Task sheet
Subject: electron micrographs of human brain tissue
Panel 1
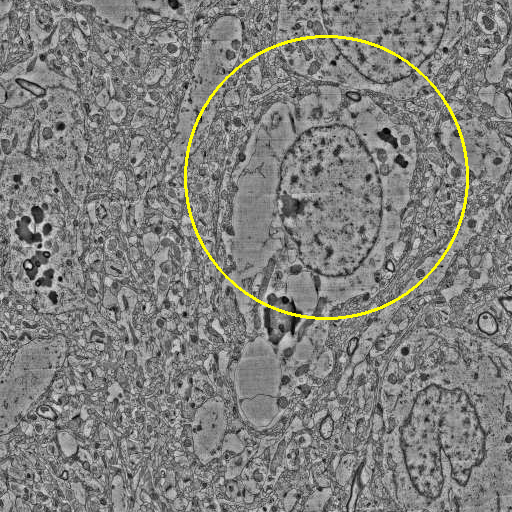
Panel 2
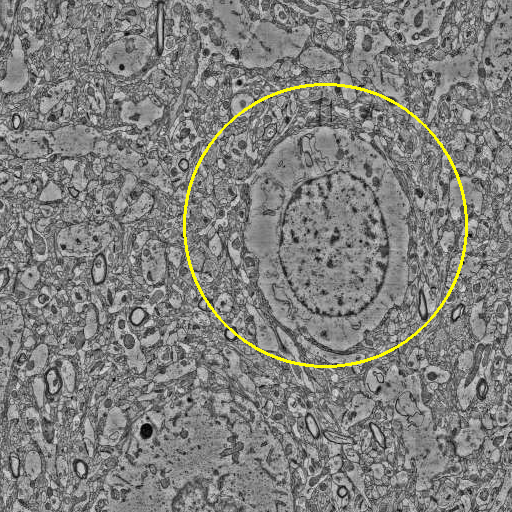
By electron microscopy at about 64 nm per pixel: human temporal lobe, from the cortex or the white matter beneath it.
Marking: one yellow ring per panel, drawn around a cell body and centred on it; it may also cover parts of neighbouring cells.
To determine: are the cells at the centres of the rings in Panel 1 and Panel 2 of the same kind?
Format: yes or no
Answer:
yes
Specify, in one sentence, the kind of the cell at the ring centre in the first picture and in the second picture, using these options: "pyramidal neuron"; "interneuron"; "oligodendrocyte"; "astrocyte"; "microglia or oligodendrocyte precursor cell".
In the first picture and in the second, the ring is centred on an astrocyte.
